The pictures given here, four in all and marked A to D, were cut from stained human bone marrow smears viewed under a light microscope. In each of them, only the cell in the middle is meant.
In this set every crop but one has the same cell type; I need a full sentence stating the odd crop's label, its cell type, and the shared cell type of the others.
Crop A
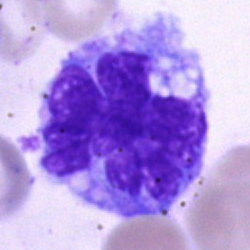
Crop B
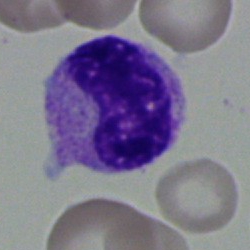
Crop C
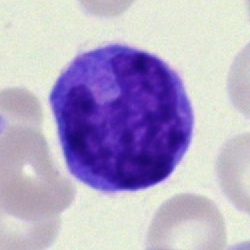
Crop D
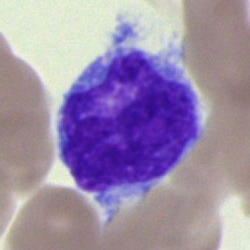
Crop B is the odd one out, being a metamyelocyte, while all the other crops show monocytes.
